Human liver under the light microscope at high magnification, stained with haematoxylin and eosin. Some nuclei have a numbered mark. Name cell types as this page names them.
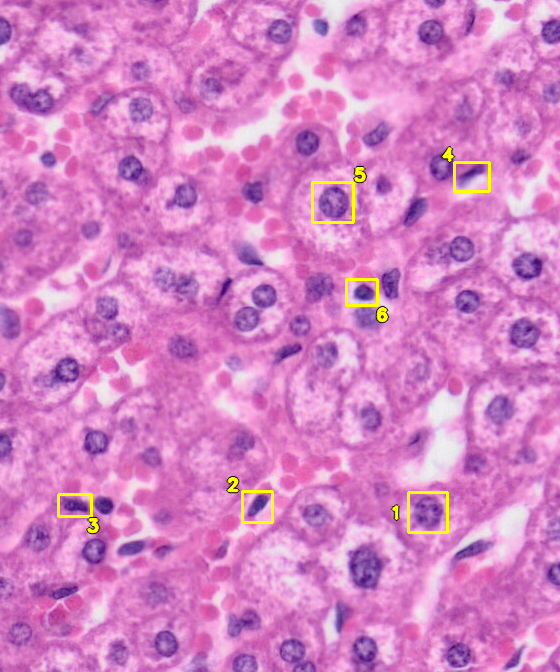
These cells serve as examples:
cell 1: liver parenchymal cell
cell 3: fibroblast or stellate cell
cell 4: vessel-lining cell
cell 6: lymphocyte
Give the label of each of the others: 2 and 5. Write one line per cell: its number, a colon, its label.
2: lymphocyte
5: liver parenchymal cell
